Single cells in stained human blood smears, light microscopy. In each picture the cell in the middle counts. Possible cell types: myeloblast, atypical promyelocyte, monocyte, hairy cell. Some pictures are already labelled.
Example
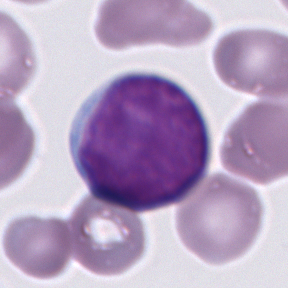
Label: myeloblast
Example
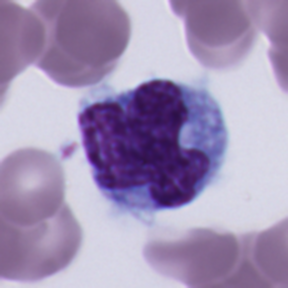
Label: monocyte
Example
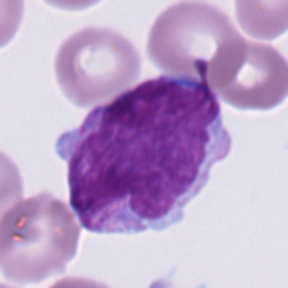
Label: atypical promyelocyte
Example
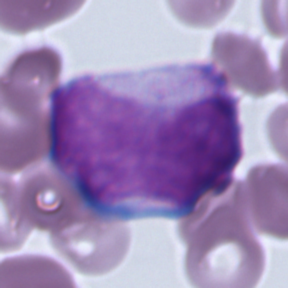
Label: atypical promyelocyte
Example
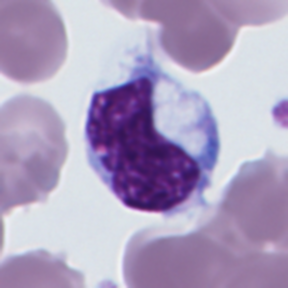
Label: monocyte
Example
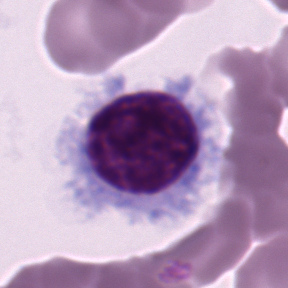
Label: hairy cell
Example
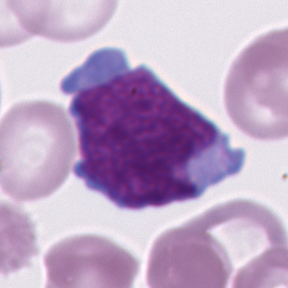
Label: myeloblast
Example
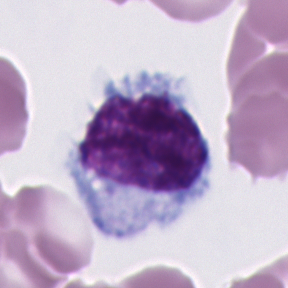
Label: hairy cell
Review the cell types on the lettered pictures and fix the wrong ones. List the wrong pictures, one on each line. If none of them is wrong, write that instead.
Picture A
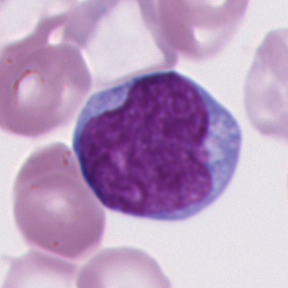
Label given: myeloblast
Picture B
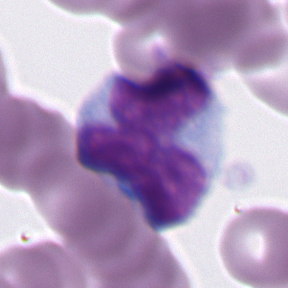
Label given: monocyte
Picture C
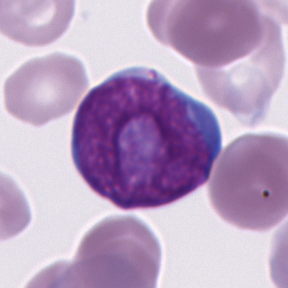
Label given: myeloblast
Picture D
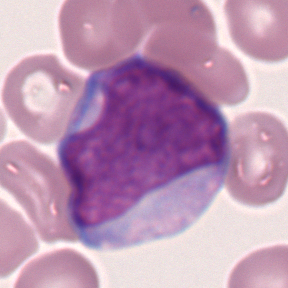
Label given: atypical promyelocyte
All labels are correct.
